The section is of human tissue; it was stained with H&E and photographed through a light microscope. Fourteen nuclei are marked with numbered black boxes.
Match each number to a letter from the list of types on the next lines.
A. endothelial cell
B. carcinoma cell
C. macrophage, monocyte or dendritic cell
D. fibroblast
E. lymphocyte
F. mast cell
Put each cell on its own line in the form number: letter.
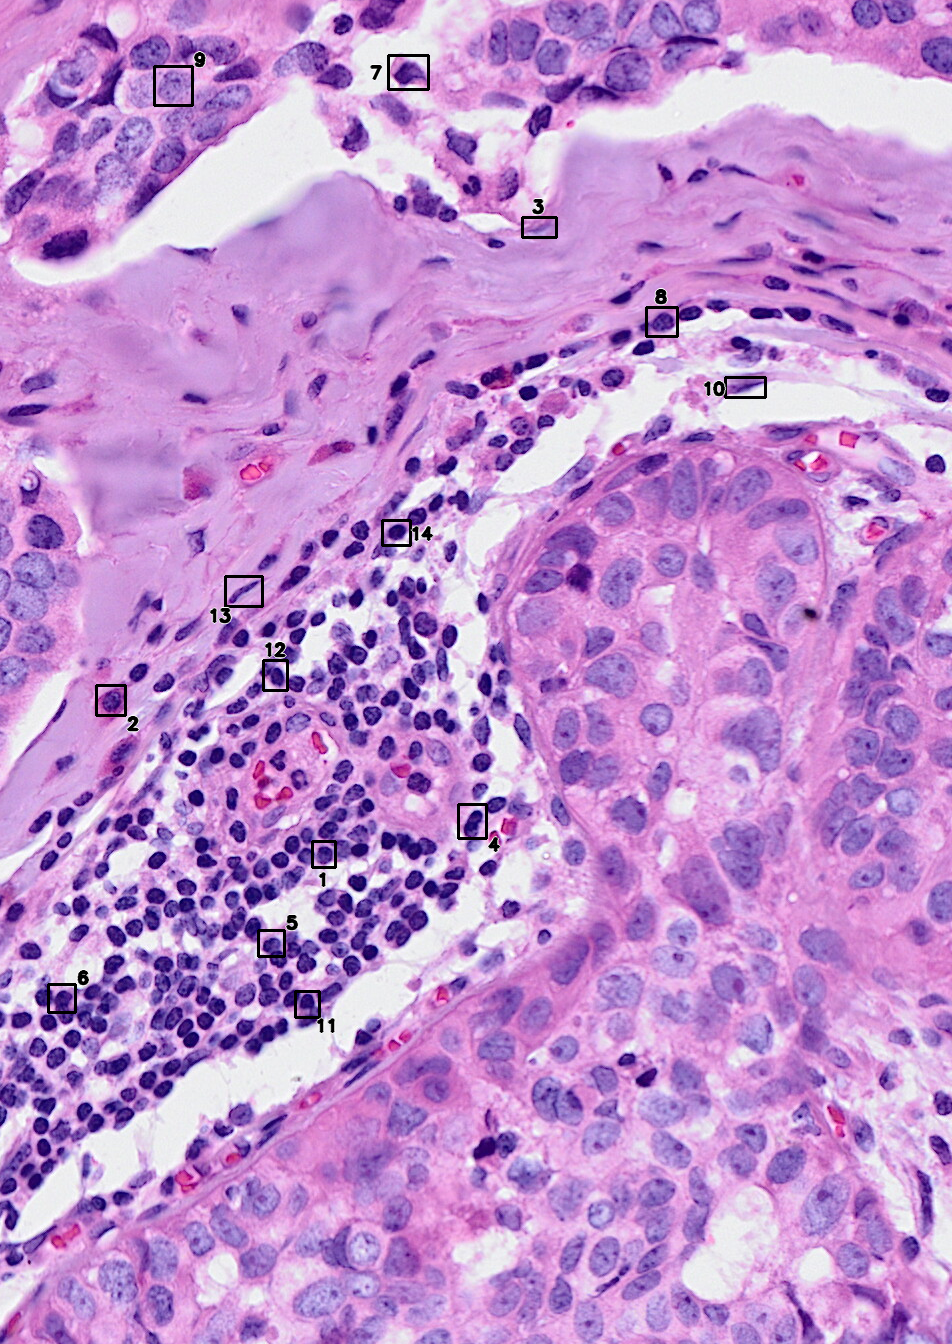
1: E
2: F
3: D
4: E
5: E
6: E
7: B
8: E
9: B
10: D
11: E
12: E
13: D
14: E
